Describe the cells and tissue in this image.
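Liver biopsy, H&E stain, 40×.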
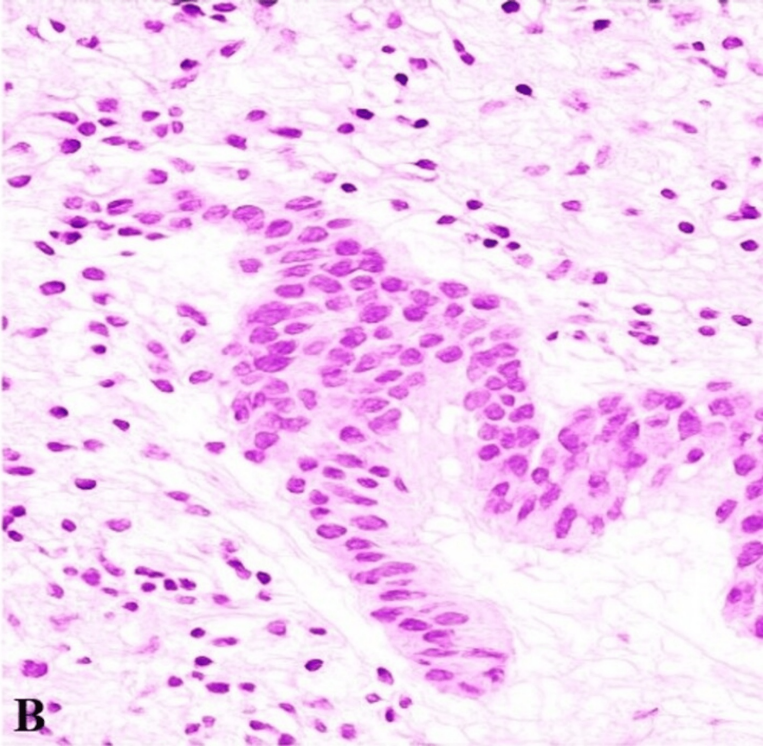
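The cells of the cord have round to oval purple nuclei, larger and paler than the nuclei around them, and a scant pink cytoplasm. The surrounding loose tissue is fibrillar and pale, with many small, dark, round or elongated nuclei scattered through it.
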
